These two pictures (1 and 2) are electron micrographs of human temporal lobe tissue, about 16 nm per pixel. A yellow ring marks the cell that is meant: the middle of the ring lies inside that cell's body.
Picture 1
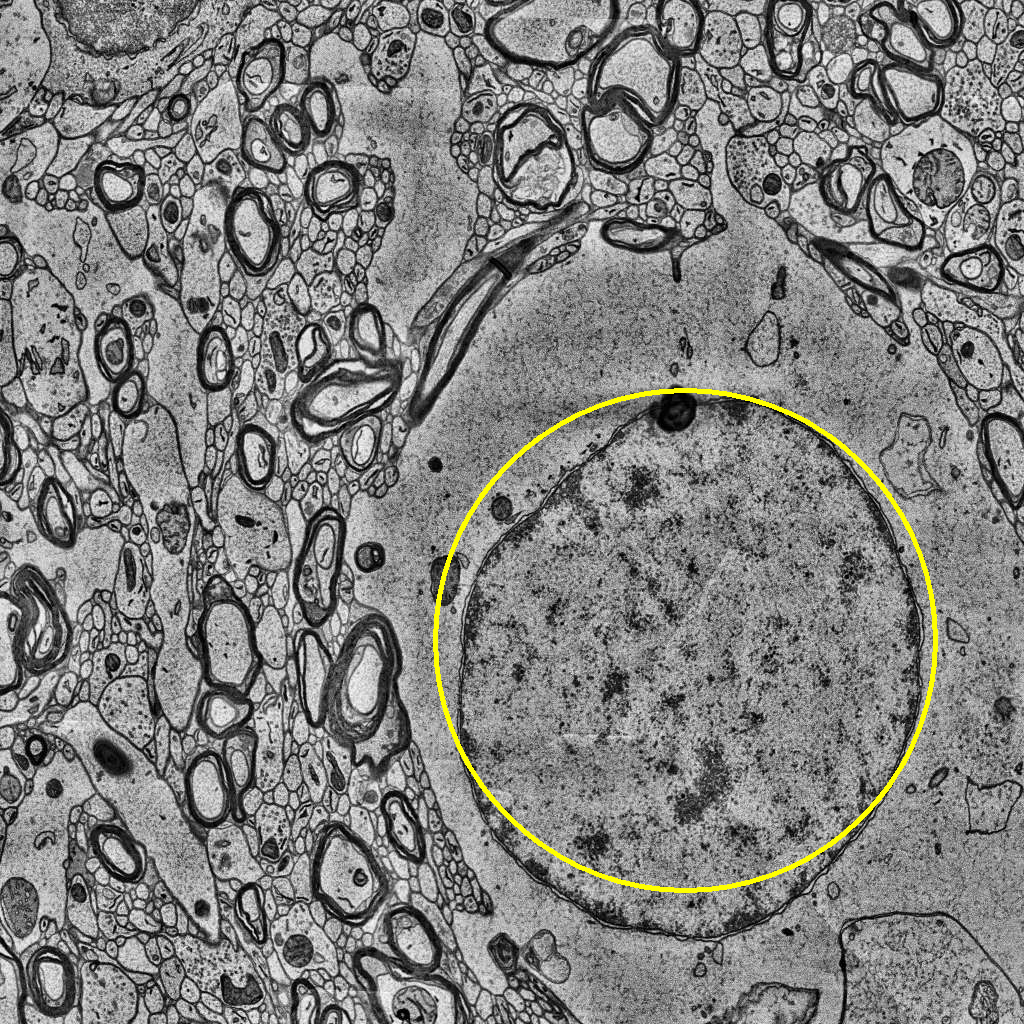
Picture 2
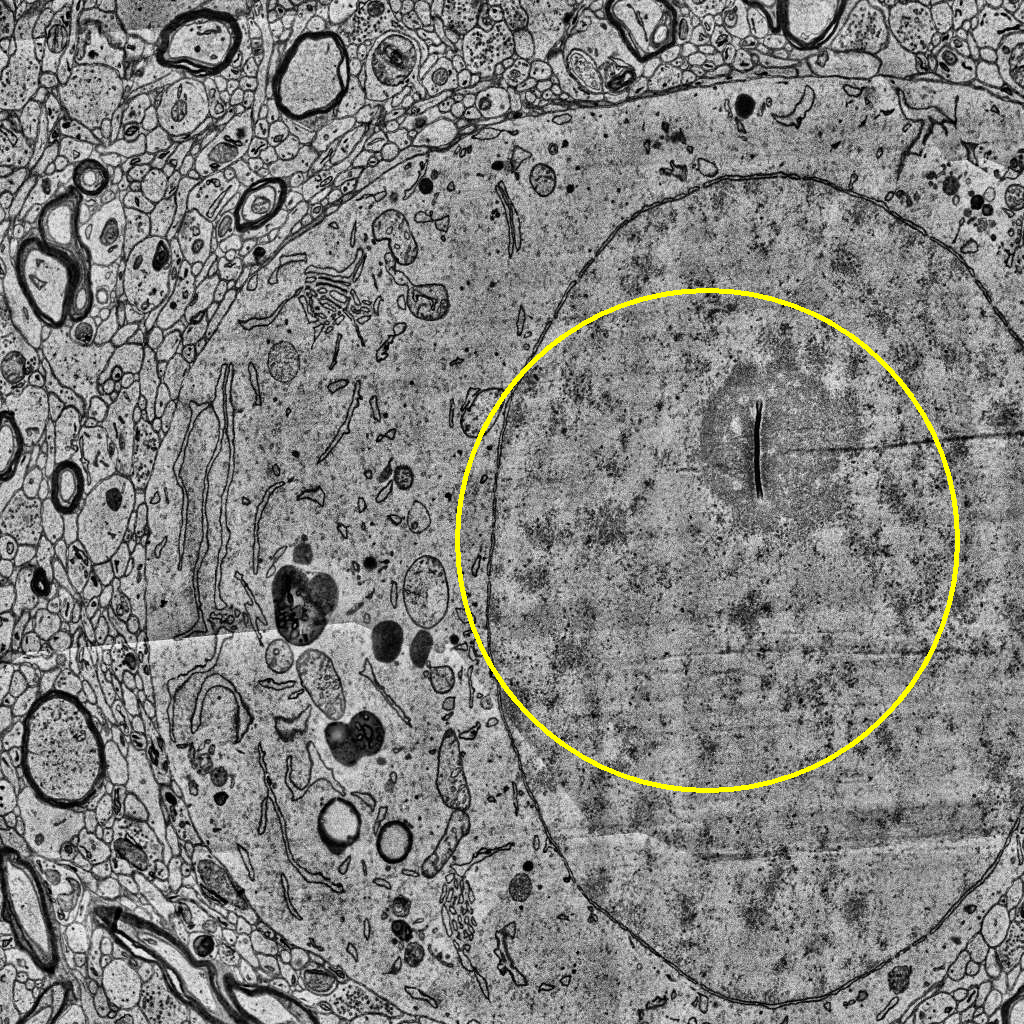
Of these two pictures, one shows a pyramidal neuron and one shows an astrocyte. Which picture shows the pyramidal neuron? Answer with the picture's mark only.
2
